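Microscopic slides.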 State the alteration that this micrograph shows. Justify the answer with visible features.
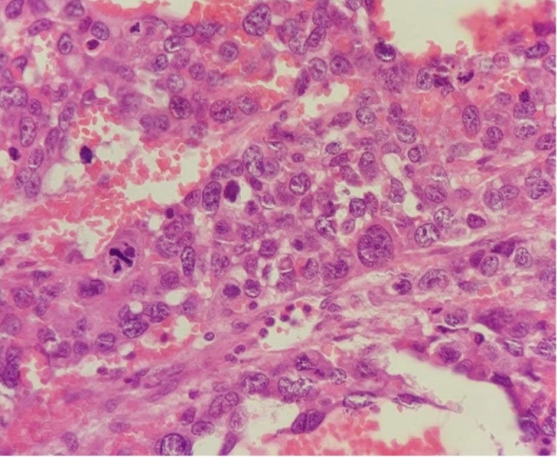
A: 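Pleomorphism. Nuclei vary markedly in size and shape. Some nuclei are very large and hyperchromatic. Cells lie in loose sheets among red blood cells.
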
